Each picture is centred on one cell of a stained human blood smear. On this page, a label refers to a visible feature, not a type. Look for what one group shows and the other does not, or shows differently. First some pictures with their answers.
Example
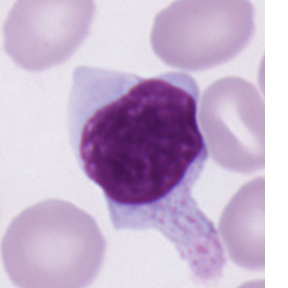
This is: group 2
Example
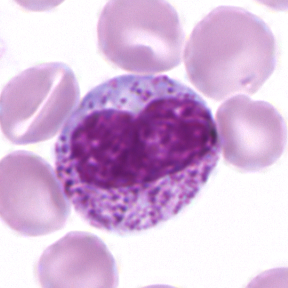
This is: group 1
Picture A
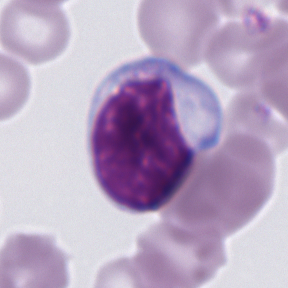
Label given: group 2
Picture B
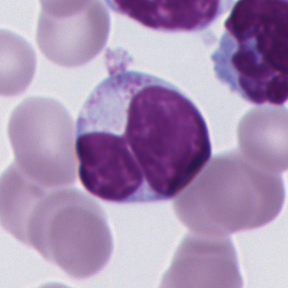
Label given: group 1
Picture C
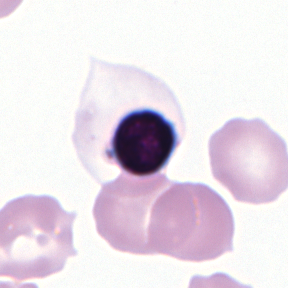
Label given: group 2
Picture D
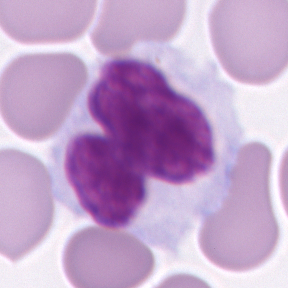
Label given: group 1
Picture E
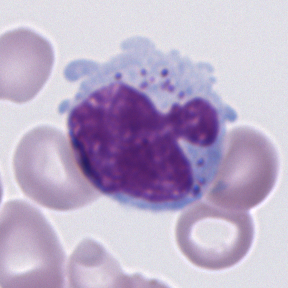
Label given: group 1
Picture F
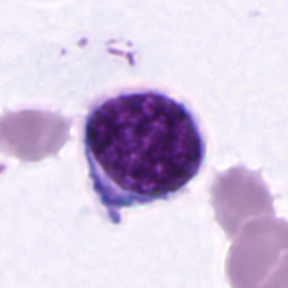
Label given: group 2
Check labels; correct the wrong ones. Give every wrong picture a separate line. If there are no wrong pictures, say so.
None of the labels needs changing.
